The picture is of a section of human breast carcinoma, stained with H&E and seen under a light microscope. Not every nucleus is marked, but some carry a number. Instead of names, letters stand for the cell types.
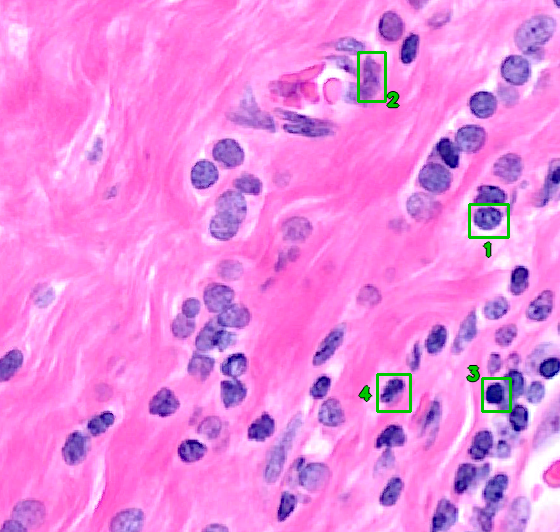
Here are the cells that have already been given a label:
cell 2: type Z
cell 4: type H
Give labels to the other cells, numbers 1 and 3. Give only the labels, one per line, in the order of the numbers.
type H
type H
